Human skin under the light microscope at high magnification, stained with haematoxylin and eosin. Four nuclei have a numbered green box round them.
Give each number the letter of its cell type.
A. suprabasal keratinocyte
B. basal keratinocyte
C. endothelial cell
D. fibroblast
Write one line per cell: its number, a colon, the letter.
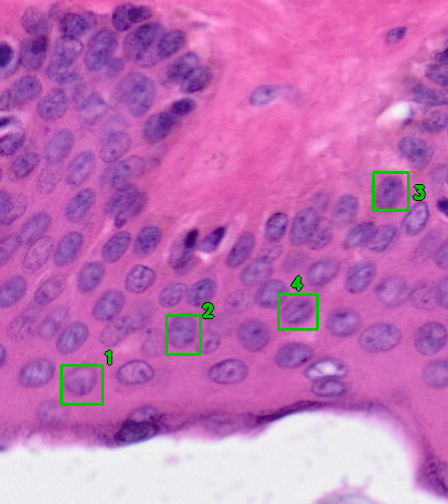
1: A
2: A
3: B
4: A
